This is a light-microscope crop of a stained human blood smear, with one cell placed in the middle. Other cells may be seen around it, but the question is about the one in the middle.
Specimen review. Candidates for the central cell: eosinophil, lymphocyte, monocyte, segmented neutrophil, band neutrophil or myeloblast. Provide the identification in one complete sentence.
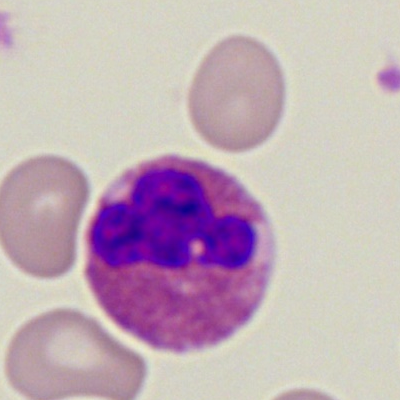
For this crop, the central cell is an eosinophil.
